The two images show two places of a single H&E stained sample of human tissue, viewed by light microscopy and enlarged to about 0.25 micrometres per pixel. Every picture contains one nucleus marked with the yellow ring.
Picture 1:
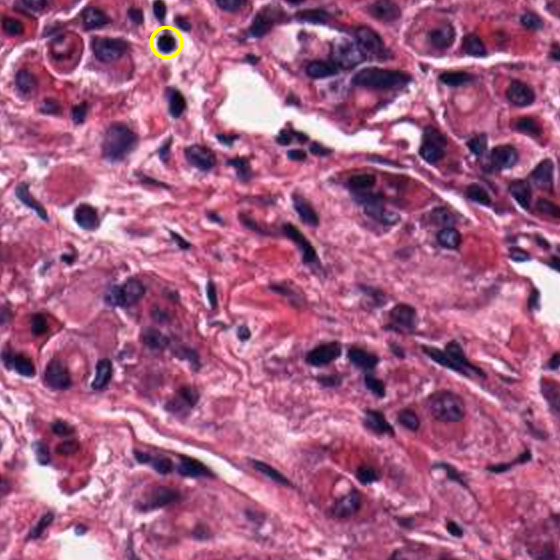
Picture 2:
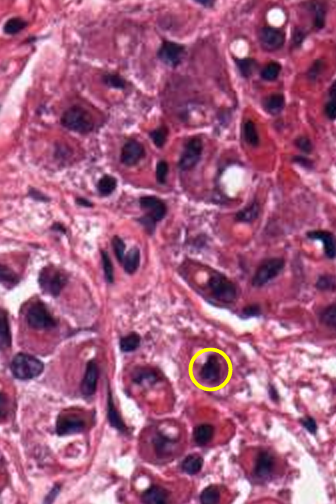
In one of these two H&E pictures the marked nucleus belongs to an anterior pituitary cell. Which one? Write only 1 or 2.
2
